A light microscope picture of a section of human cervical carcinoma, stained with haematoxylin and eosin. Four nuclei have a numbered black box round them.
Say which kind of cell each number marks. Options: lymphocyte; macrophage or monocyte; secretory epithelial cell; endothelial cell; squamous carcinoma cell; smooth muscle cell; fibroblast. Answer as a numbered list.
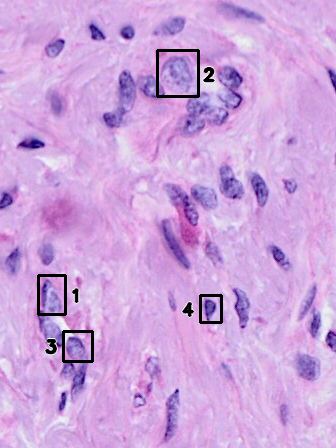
1. endothelial cell
2. endothelial cell
3. endothelial cell
4. fibroblast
